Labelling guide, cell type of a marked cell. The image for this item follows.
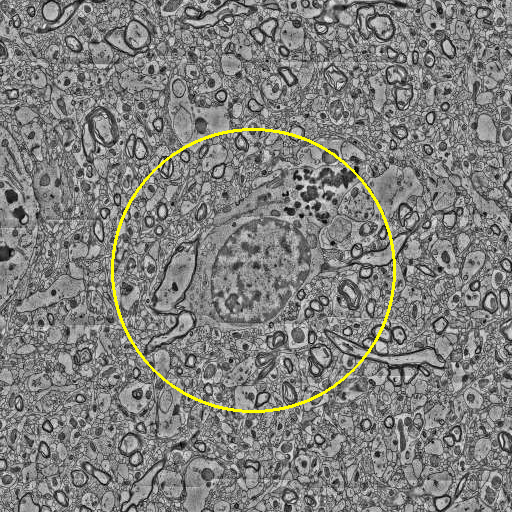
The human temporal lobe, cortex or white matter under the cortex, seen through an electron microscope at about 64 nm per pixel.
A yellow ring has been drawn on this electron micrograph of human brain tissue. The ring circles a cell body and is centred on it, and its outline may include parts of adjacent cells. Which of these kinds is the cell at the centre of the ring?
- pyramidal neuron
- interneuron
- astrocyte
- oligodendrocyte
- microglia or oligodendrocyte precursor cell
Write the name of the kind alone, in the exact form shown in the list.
oligodendrocyte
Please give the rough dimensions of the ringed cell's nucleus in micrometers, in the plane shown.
The nucleus measures about 7 by 6 micrometres in this plane.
